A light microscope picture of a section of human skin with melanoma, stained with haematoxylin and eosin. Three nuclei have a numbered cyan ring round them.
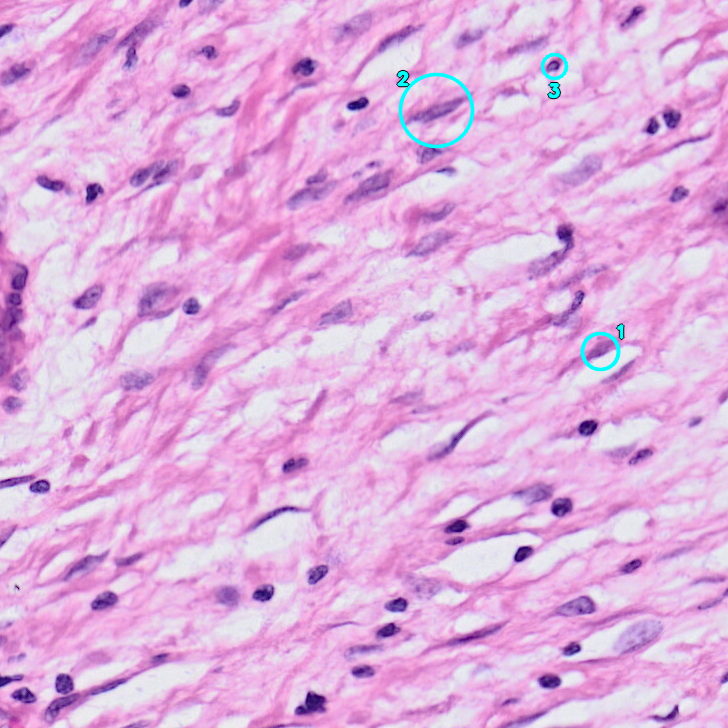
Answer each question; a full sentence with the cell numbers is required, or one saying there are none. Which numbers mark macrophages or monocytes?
Of all the numbered cells, only one is a macrophage or monocyte, and that is cell 3.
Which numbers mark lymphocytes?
No representatives of lymphocytes are found among the numbered cells.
